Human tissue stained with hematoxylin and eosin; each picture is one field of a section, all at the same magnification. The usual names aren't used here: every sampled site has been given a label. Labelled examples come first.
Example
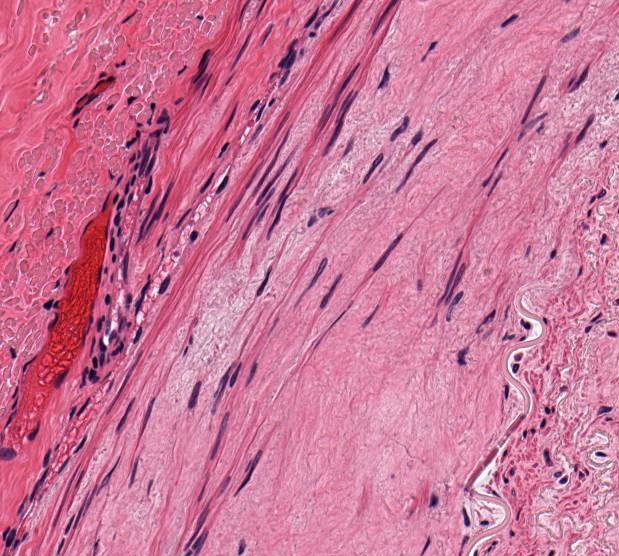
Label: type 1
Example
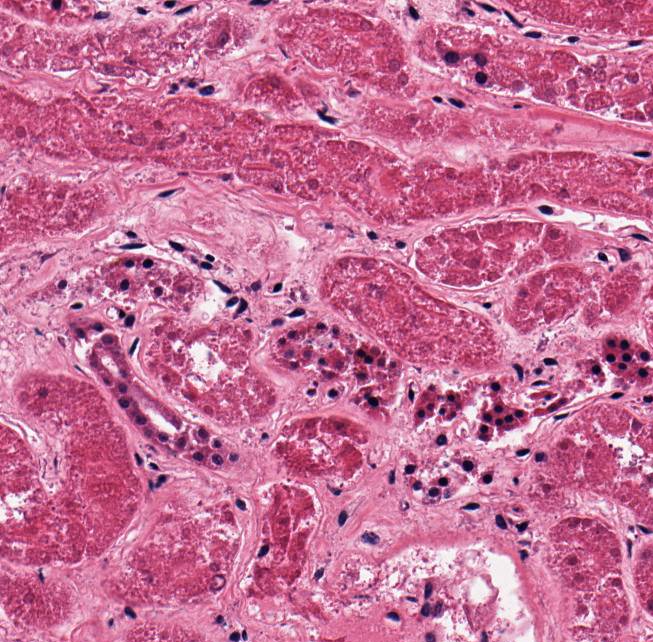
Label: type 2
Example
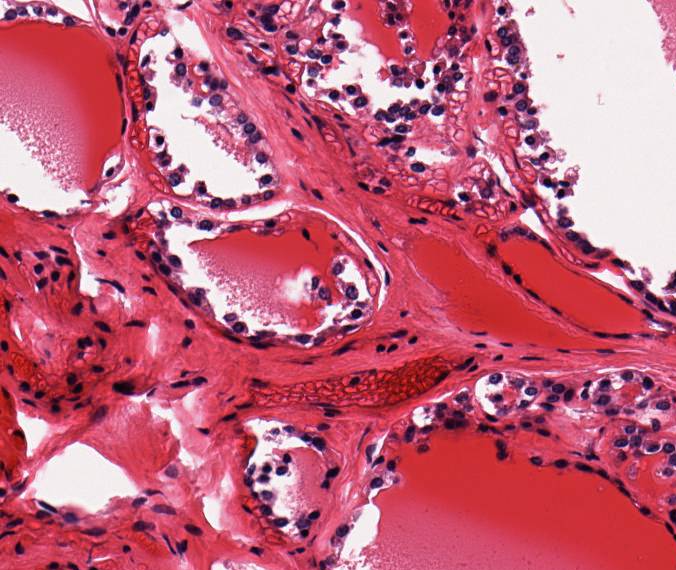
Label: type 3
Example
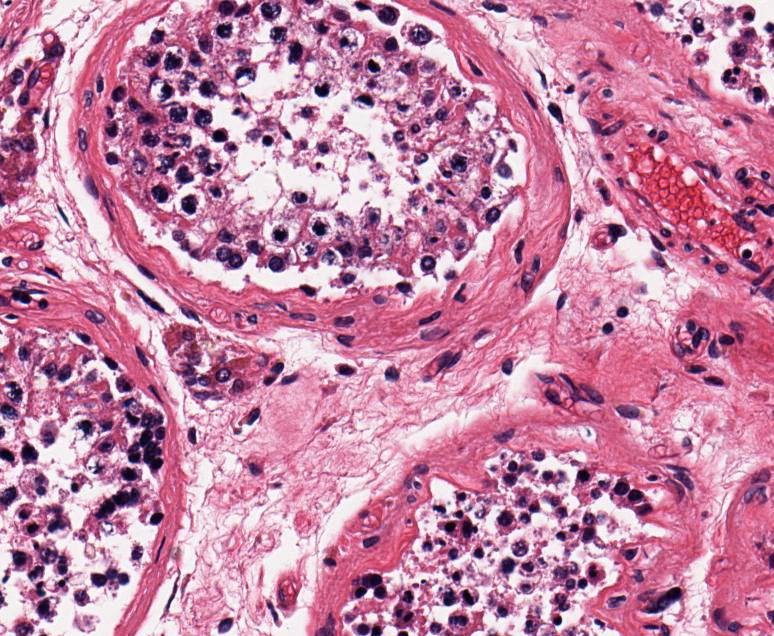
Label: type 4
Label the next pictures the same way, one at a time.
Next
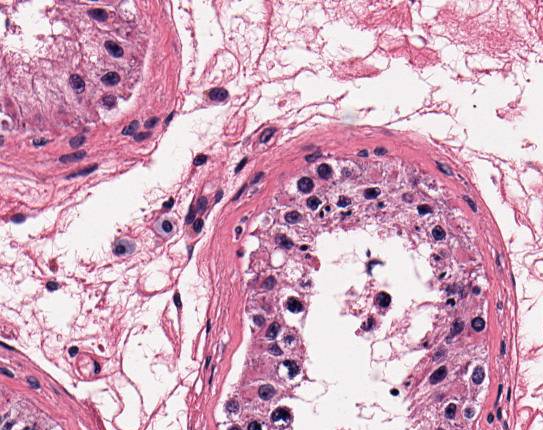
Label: type 4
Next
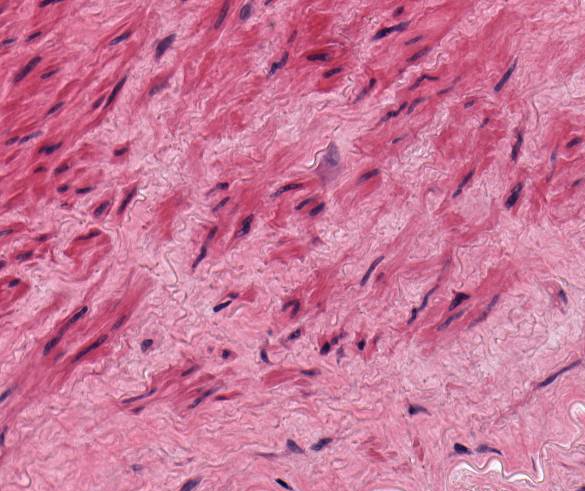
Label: type 1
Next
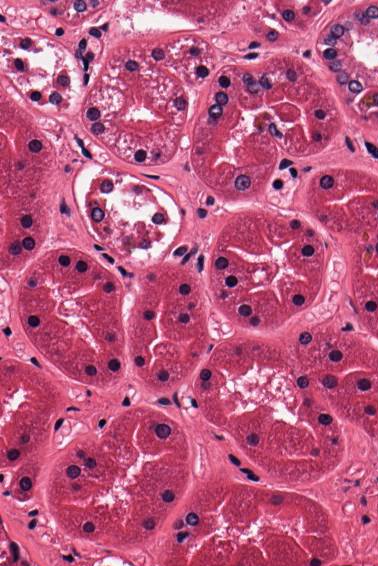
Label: type 2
